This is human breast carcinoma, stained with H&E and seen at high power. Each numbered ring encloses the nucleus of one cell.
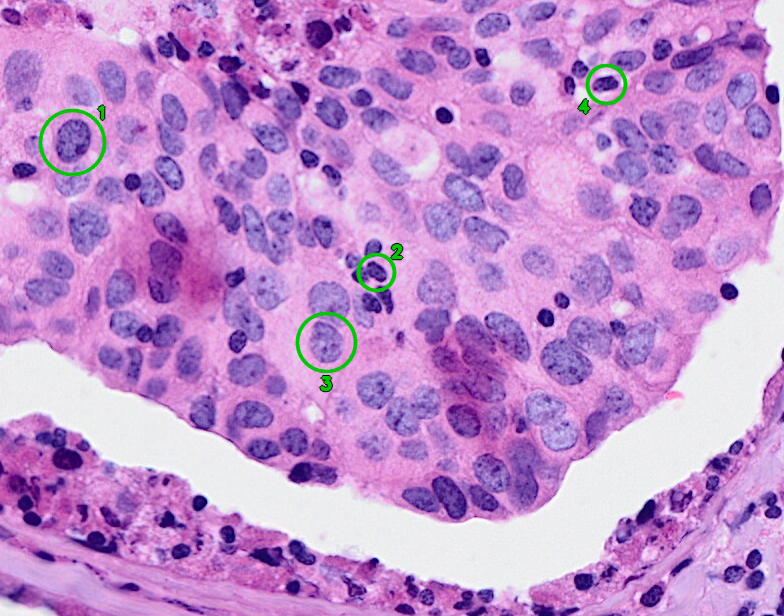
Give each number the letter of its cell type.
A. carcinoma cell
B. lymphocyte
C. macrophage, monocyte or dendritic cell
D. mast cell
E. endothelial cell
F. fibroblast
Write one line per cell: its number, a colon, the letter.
1: A
2: B
3: A
4: B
